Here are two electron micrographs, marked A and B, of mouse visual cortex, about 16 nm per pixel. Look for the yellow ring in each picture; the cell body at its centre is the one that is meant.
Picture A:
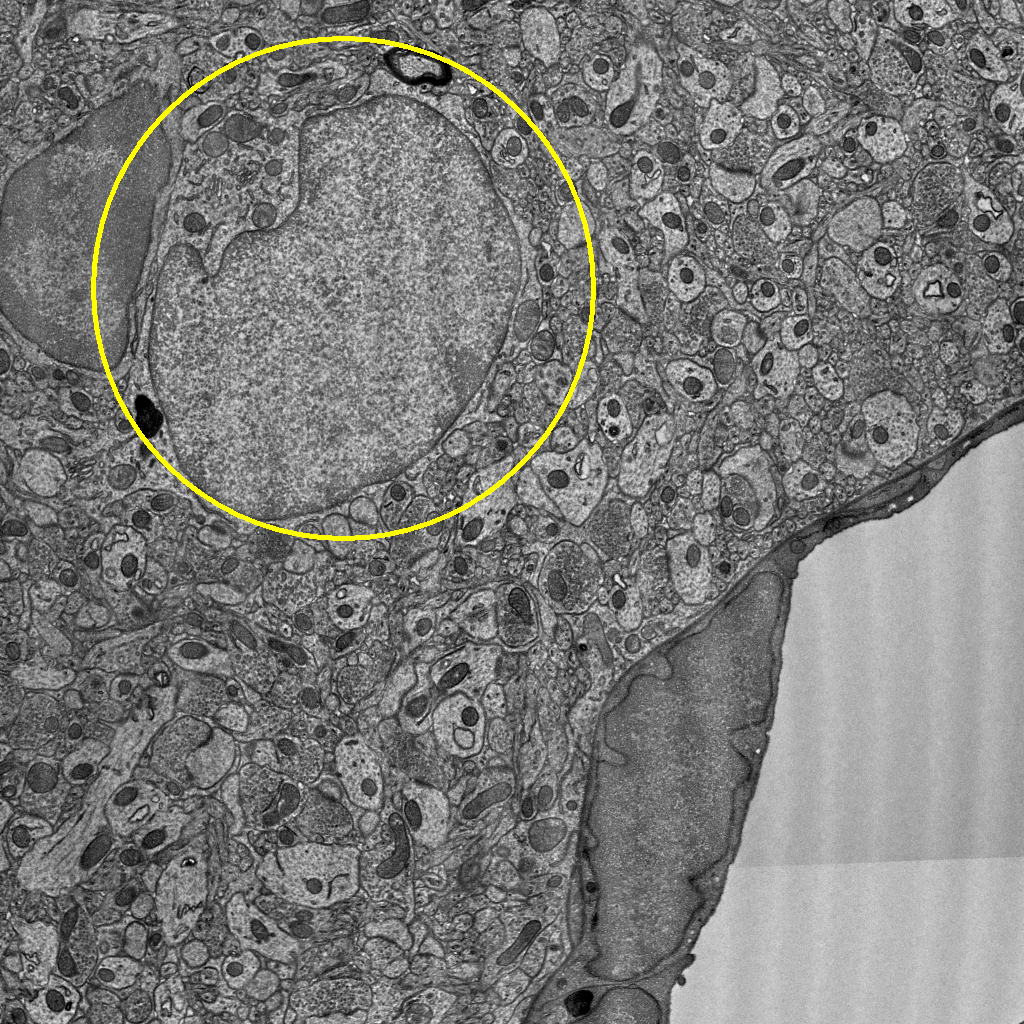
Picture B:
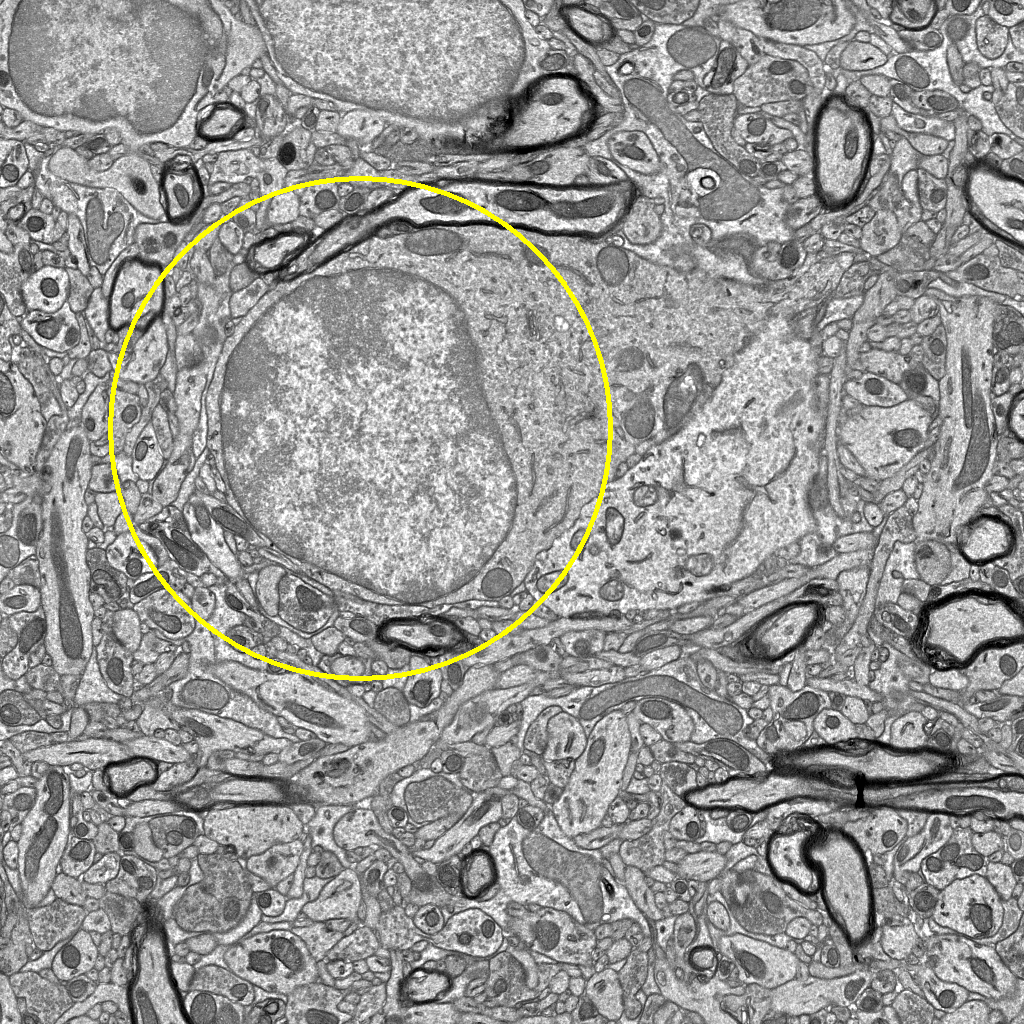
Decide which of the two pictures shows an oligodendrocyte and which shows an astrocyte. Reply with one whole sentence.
Picture B shows an oligodendrocyte, while picture A shows an astrocyte.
